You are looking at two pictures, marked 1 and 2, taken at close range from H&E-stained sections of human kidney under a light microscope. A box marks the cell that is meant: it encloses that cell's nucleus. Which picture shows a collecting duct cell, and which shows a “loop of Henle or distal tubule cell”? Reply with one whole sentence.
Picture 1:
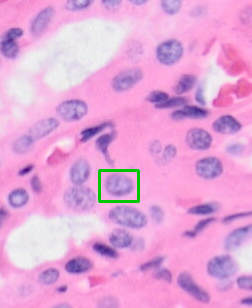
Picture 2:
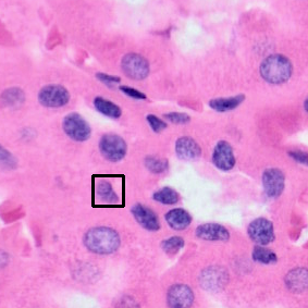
Picture 1 is of a collecting duct cell, and picture 2 is of a “loop of Henle or distal tubule cell”.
